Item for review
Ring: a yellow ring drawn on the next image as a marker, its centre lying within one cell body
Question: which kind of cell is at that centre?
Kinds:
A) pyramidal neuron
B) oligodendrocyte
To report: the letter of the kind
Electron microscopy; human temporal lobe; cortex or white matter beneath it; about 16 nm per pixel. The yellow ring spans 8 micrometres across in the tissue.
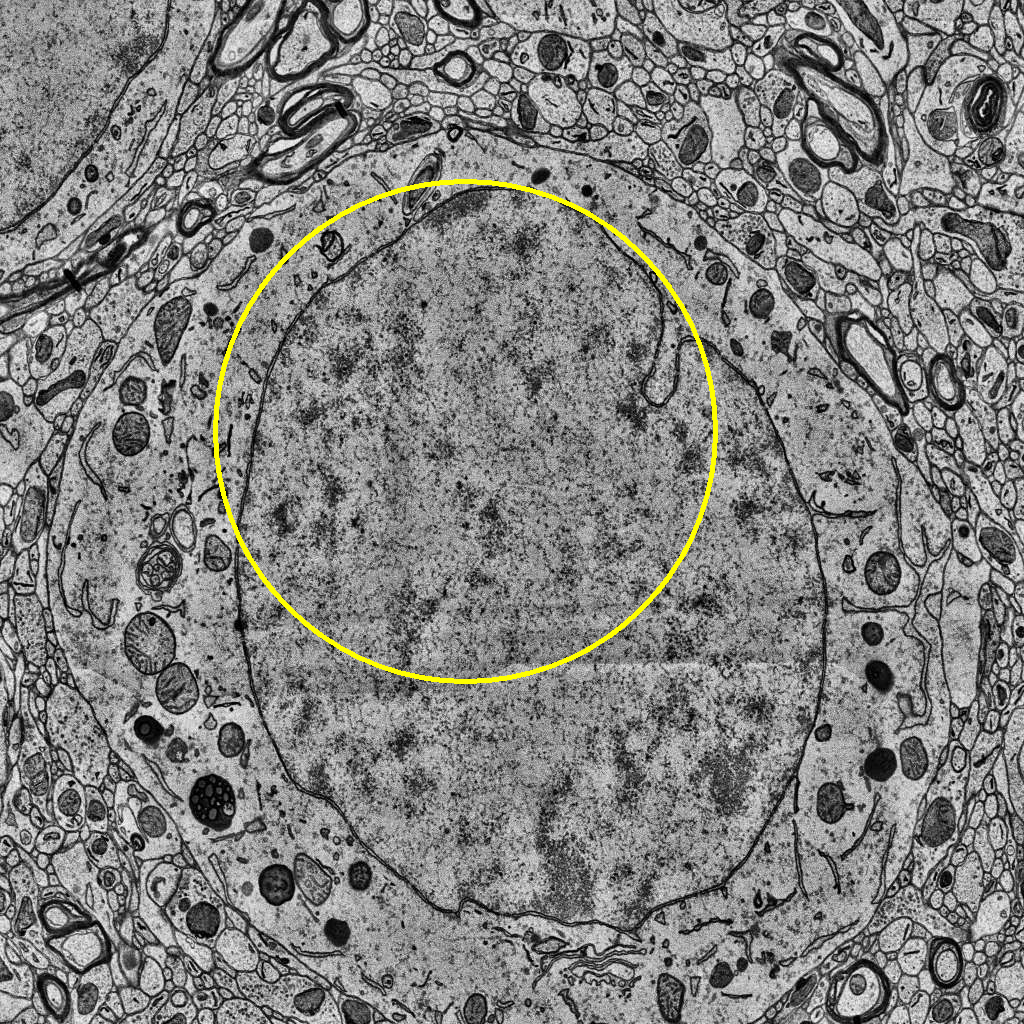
A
